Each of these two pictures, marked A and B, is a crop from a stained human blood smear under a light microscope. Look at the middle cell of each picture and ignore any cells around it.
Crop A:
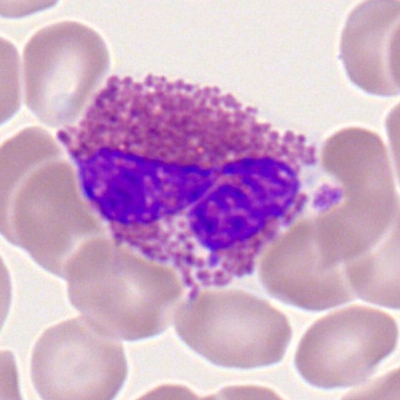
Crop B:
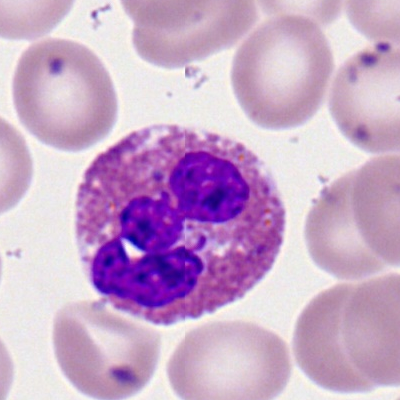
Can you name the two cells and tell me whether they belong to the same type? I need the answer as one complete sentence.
Yes, what both crops show at their centres are eosinophils.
